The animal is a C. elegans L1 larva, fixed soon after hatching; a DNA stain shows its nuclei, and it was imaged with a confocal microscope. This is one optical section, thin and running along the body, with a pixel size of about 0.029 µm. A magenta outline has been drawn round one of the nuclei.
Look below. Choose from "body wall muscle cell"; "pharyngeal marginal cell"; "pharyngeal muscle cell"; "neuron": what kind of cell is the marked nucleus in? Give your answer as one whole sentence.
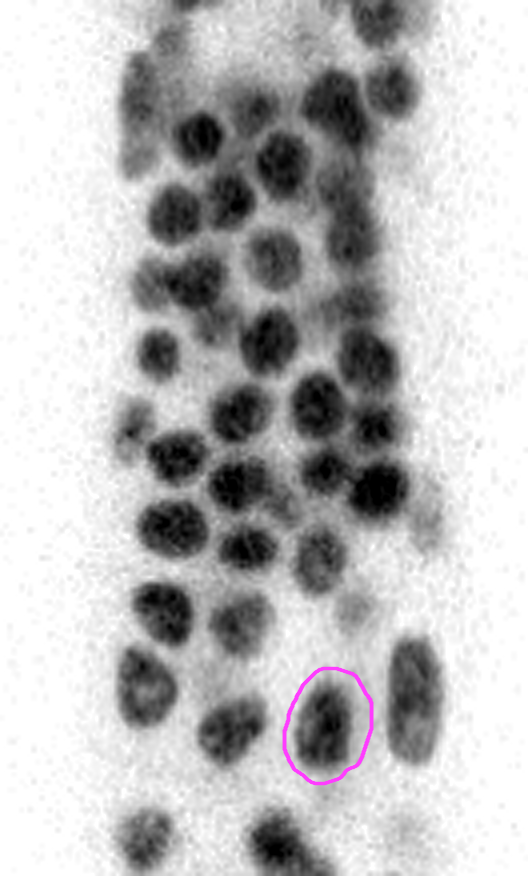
The cell with the marked nucleus is a pharyngeal marginal cell.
